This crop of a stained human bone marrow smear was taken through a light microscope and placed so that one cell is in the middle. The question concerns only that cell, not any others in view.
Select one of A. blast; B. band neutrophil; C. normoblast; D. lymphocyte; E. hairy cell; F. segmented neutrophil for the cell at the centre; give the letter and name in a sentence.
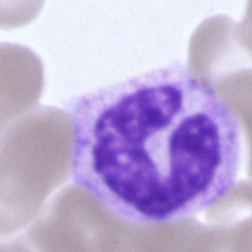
Option B correctly names the cell in the middle as a band neutrophil.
